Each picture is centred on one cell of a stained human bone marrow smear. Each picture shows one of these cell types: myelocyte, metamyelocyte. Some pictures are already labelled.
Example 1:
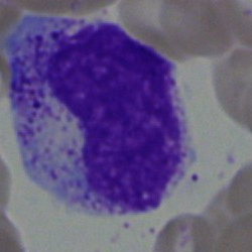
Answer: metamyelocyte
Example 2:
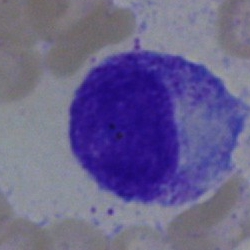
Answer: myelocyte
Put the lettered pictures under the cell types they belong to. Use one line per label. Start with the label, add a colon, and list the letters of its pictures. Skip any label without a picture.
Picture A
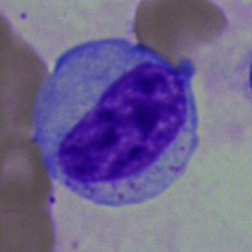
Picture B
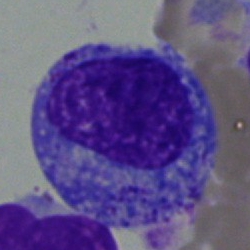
myelocyte: A, B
